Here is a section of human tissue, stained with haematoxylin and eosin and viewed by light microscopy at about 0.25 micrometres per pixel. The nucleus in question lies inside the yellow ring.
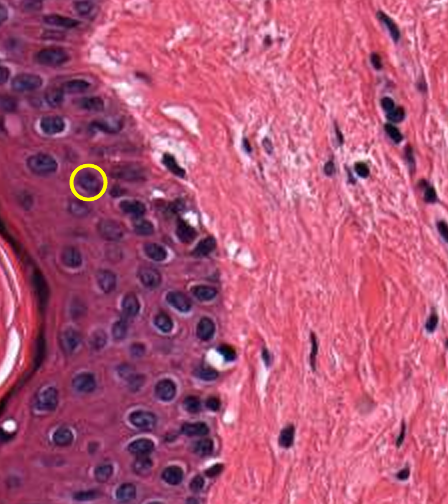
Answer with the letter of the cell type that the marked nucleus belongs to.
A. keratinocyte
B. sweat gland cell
A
